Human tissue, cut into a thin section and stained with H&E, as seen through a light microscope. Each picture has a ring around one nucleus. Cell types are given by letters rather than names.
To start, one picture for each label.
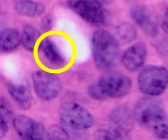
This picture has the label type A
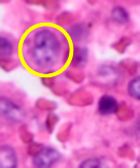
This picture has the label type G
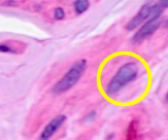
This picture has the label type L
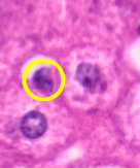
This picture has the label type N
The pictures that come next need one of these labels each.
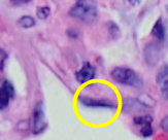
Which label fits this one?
type N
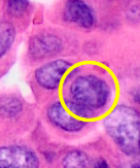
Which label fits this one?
type A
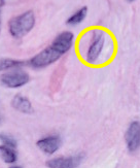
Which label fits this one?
type L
